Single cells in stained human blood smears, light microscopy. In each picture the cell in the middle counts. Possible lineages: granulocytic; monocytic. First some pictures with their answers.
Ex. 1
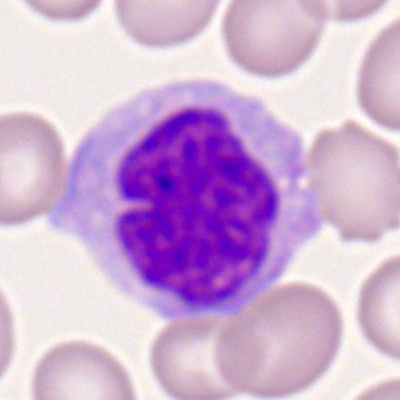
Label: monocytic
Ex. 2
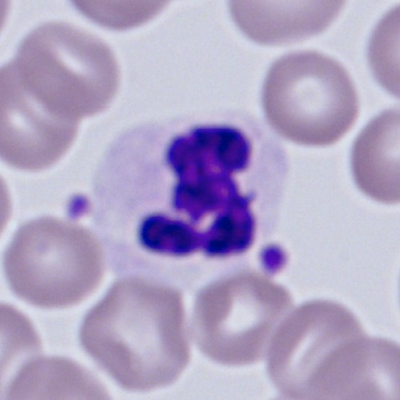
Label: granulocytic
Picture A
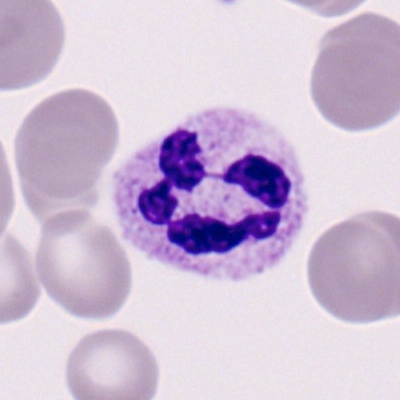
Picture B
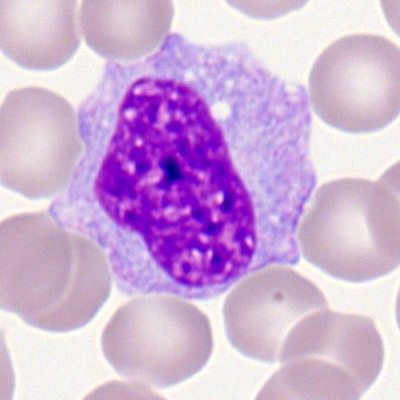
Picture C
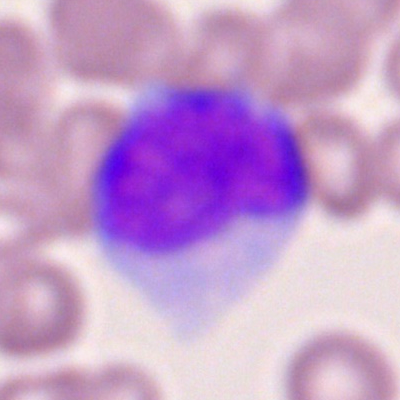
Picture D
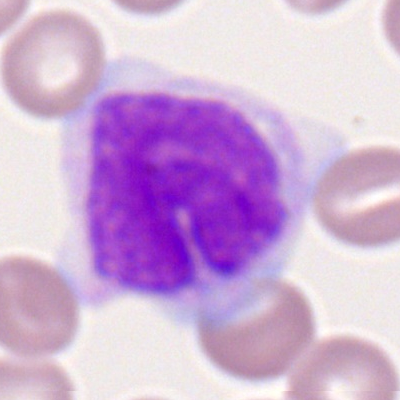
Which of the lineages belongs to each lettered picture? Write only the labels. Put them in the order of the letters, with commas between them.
granulocytic, monocytic, monocytic, monocytic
